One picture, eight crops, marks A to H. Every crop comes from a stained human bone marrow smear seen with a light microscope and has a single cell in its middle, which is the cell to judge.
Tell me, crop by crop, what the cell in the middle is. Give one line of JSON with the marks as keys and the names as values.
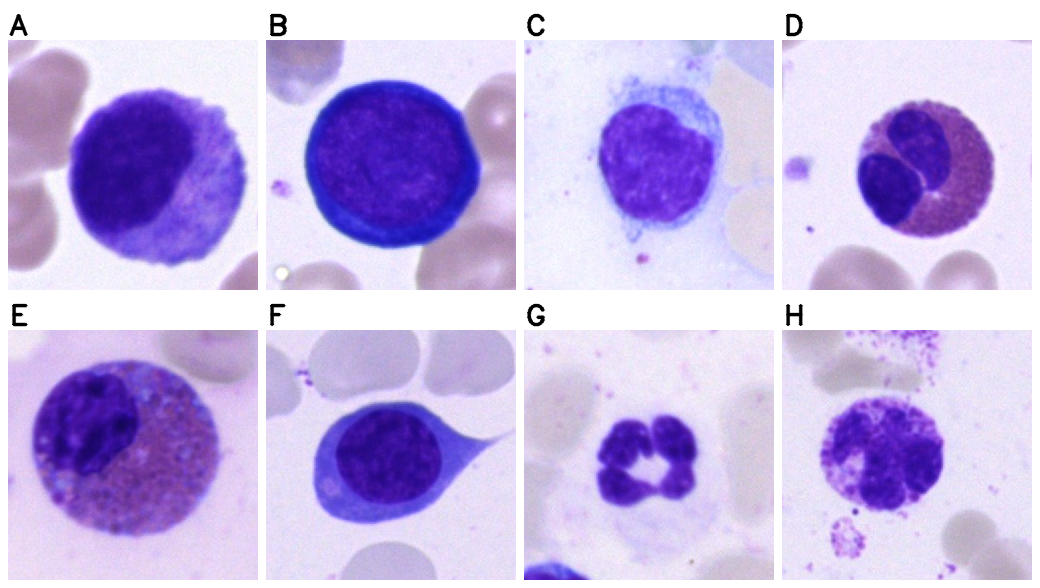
{"A": "promyelocyte", "B": "proerythroblast", "C": "lymphocyte", "D": "eosinophil", "E": "eosinophil", "F": "plasma cell", "G": "segmented neutrophil", "H": "basophil"}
